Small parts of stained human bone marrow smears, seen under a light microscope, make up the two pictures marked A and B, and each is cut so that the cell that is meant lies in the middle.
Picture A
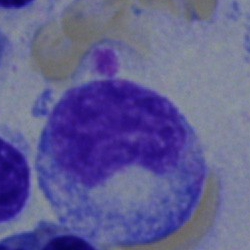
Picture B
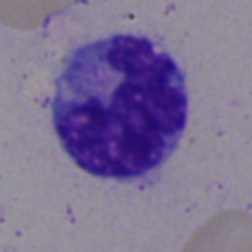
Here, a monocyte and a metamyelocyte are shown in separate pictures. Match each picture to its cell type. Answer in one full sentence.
Picture B shows a monocyte, while picture A shows a metamyelocyte.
